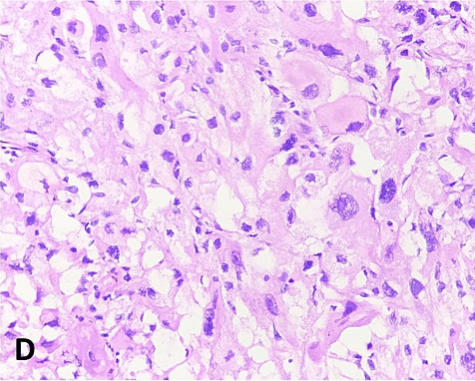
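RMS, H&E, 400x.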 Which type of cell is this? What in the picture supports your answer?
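Pleomorphic tumor cells. Cells vary widely in size and shape. Some large cells have abundant pink cytoplasm and big irregular nuclei.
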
